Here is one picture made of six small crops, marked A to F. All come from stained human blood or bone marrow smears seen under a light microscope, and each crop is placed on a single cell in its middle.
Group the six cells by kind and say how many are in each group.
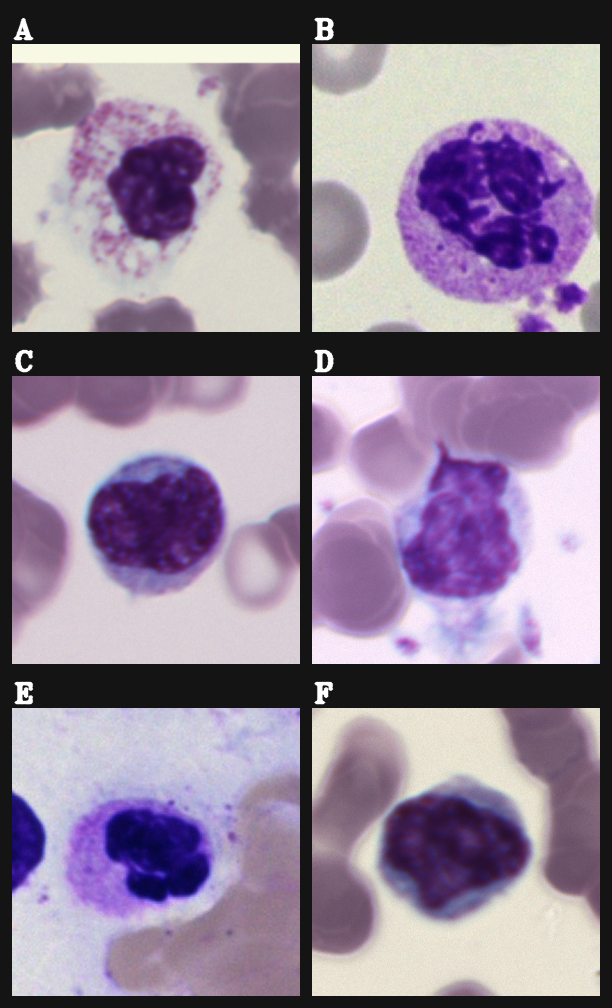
segmented neutrophil: 3
monocyte: 3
